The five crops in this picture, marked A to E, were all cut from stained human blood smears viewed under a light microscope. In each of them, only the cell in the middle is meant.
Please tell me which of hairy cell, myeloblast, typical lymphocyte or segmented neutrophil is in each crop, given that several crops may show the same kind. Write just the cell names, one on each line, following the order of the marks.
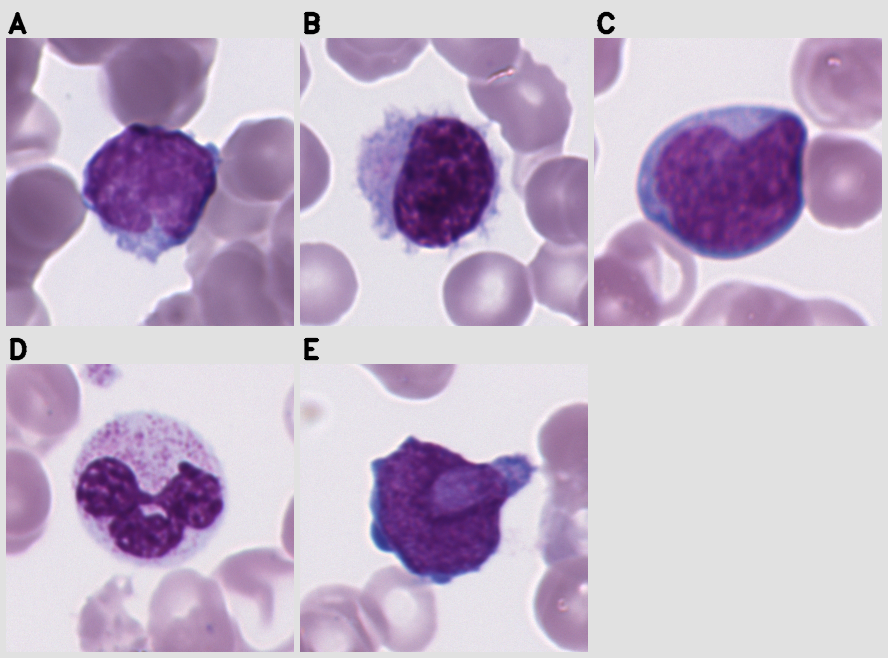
typical lymphocyte
hairy cell
myeloblast
segmented neutrophil
myeloblast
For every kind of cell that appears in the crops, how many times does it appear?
myeloblast: 2
typical lymphocyte: 1
hairy cell: 1
segmented neutrophil: 1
